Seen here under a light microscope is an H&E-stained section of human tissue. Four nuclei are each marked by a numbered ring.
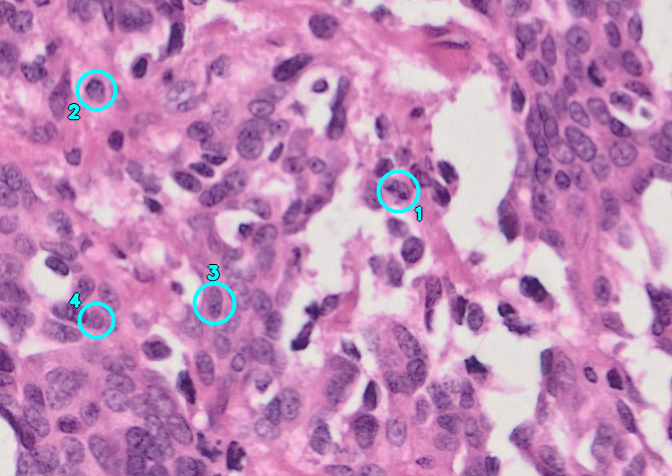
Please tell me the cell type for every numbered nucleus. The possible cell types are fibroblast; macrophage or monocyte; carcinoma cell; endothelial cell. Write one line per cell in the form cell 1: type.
cell 1: macrophage or monocyte
cell 2: macrophage or monocyte
cell 3: macrophage or monocyte
cell 4: carcinoma cell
